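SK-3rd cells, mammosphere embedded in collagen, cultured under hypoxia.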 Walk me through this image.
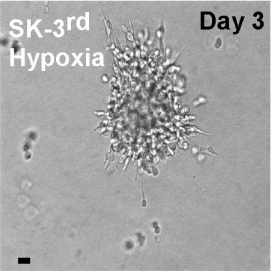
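A central mass of tightly packed cells is seen in a pale gel, and from its whole margin many cells stream outward. The outgoing cells are elongated and spindle-shaped, many with thin pointed extensions directed away from the centre, giving the mass a spiky, star-like outline. A few single rounded or elongated cells lie detached some distance from the mass.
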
